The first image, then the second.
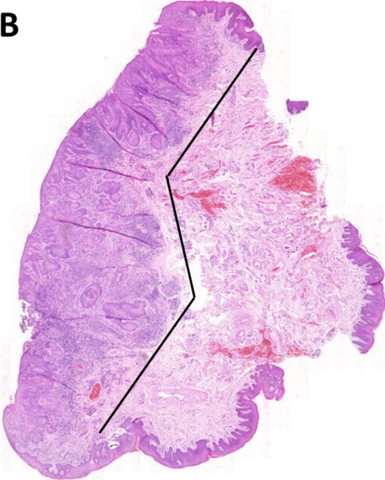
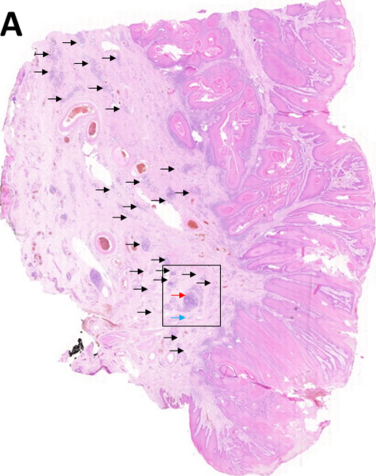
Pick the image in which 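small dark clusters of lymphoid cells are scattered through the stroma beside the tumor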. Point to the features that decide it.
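First image: the pale stroma beside the tumor shows no distinct dark round cell clusters. Second image: many small dark purple clusters, marked by arrows, are scattered through the pale stroma. On this evidence: the second image.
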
